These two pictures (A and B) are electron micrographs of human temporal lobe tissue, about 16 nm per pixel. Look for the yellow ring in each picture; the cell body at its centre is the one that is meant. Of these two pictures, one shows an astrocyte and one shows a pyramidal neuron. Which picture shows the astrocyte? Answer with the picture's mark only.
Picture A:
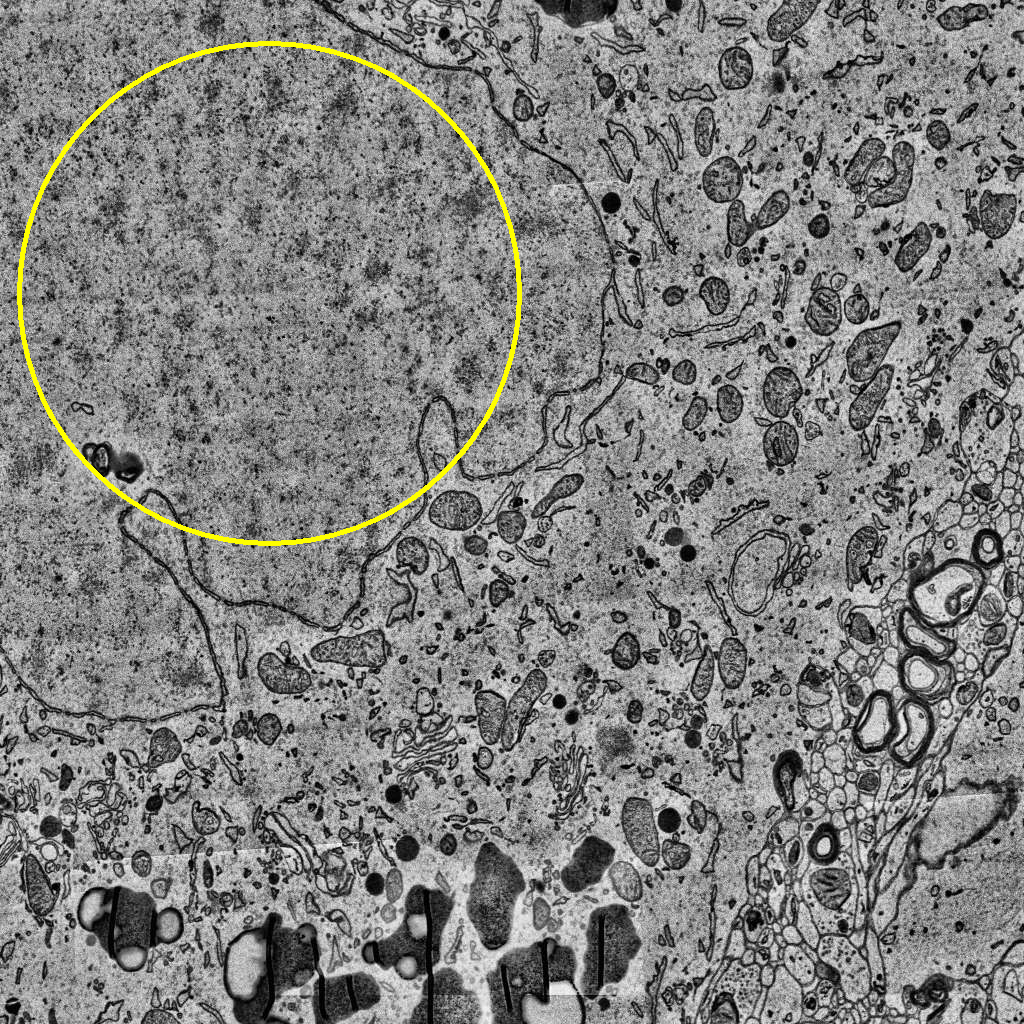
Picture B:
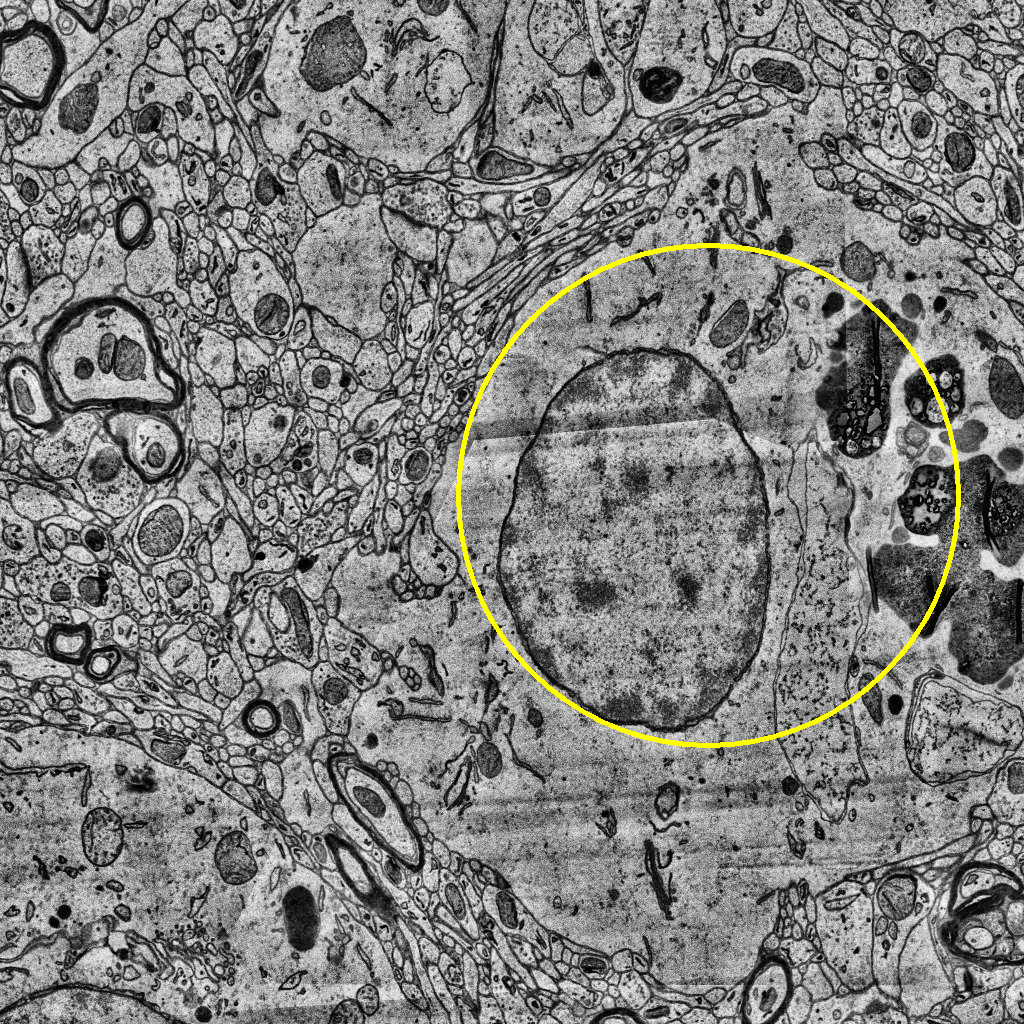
B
